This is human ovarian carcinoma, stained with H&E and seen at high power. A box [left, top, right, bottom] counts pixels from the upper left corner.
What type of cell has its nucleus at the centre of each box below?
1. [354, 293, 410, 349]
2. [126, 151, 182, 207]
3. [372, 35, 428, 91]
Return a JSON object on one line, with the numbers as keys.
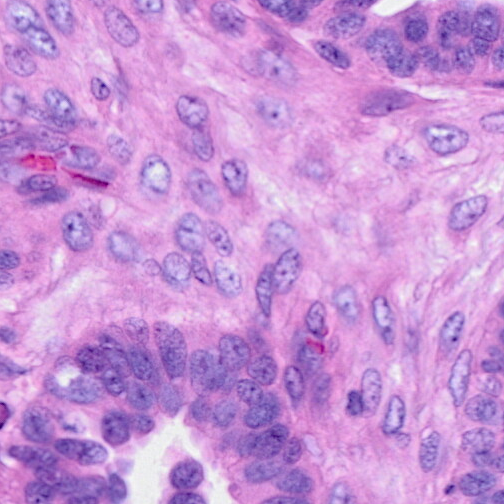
{"1": "fibroblast", "2": "fibroblast", "3": "carcinoma cell"}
